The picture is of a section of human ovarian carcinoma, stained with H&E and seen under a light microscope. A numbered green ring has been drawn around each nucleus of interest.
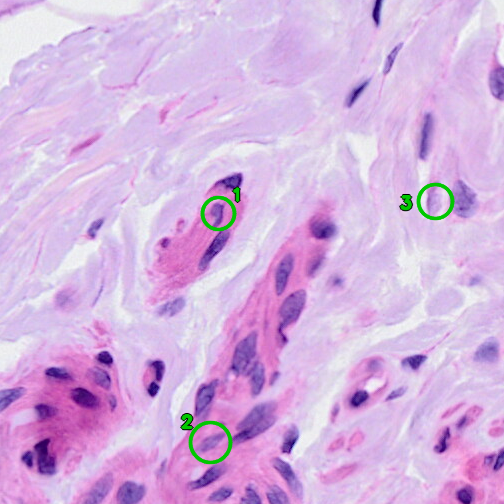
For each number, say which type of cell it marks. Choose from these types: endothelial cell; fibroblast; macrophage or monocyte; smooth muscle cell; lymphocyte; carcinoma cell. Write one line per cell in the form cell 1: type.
cell 1: smooth muscle cell
cell 2: smooth muscle cell
cell 3: fibroblast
